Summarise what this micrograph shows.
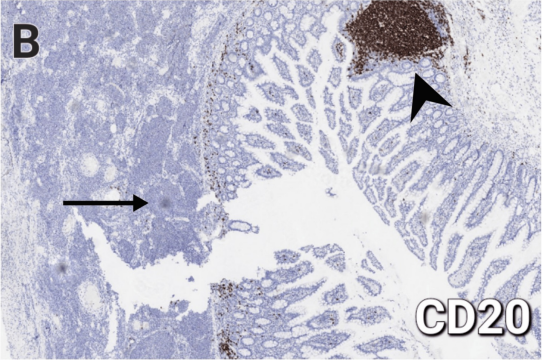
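At low power a broad, uniform sheet of densely packed tumor cells, unstained and blue, occupies the left half beneath a glandular mucosa. Near the top, at the edge of the mucosa, a small rounded aggregate of cells is stained intensely brown, standing out from the otherwise blue tissue.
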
